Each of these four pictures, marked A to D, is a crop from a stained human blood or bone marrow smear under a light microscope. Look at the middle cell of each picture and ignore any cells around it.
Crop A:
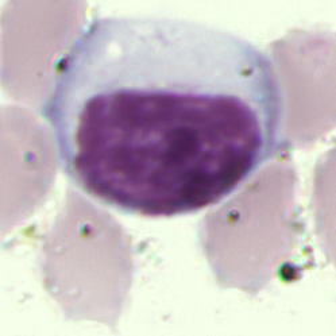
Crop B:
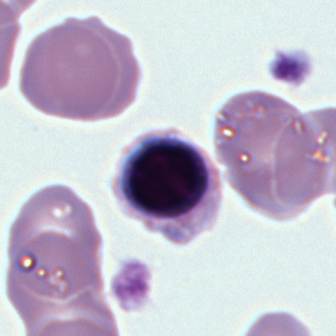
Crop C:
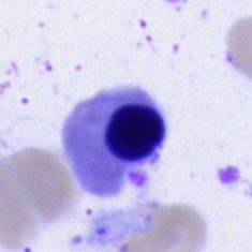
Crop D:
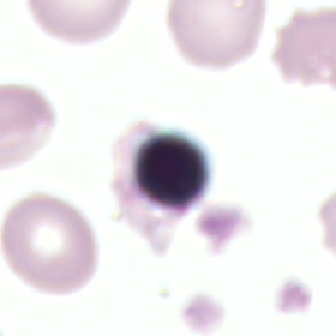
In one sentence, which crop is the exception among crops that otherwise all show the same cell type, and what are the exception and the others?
The one crop not showing normoblasts is crop A, which shows a plasma cell.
